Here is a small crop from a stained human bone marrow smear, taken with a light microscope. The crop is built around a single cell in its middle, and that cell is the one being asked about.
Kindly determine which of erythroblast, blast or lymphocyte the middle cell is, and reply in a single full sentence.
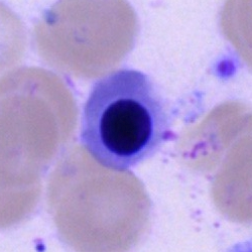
The cell sitting right in the middle is an erythroblast.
